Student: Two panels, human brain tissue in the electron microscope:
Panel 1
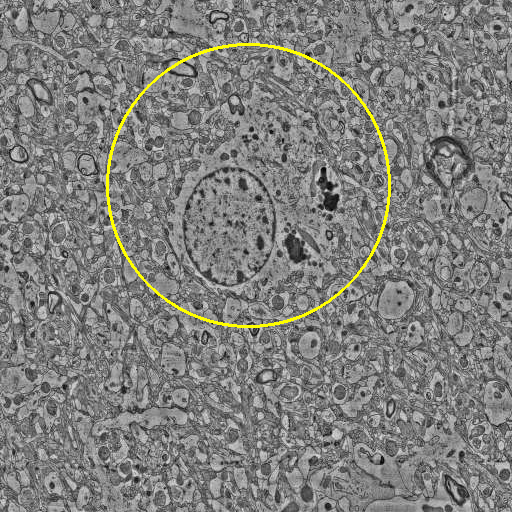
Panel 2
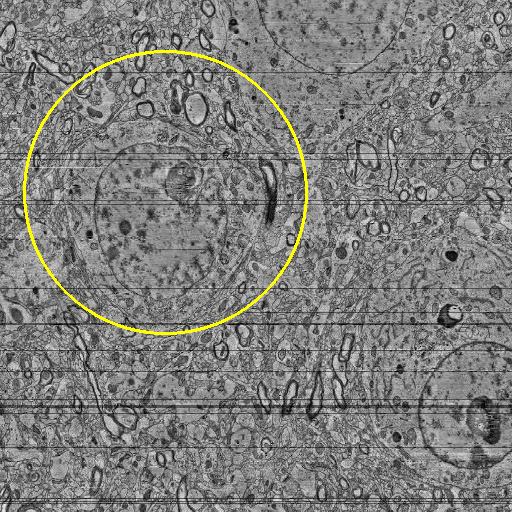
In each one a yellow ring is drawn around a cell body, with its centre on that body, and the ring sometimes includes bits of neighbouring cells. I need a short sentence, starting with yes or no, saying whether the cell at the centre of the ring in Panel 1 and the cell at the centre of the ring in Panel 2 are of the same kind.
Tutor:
No, they are two kinds of cell.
